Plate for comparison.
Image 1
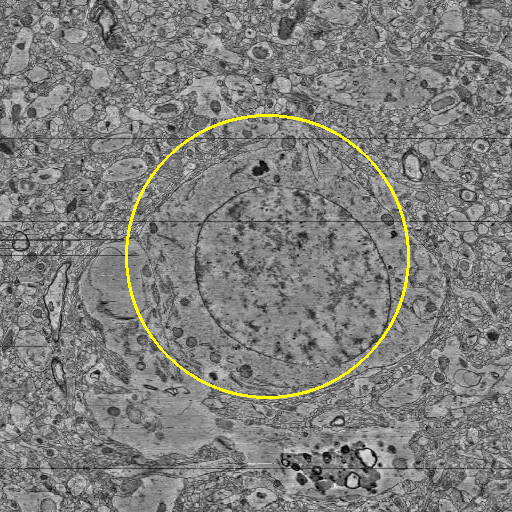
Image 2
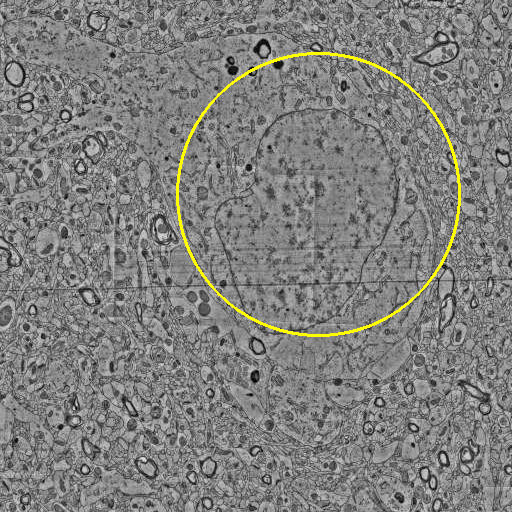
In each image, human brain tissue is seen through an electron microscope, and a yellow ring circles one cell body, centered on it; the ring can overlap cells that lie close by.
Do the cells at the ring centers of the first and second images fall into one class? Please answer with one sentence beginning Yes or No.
Yes, the first and second images show a single class of cell at the ring centers.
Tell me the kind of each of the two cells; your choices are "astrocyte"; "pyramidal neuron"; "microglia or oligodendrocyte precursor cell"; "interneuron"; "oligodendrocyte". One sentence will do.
The ring centre holds a pyramidal neuron in each of the two pictures.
